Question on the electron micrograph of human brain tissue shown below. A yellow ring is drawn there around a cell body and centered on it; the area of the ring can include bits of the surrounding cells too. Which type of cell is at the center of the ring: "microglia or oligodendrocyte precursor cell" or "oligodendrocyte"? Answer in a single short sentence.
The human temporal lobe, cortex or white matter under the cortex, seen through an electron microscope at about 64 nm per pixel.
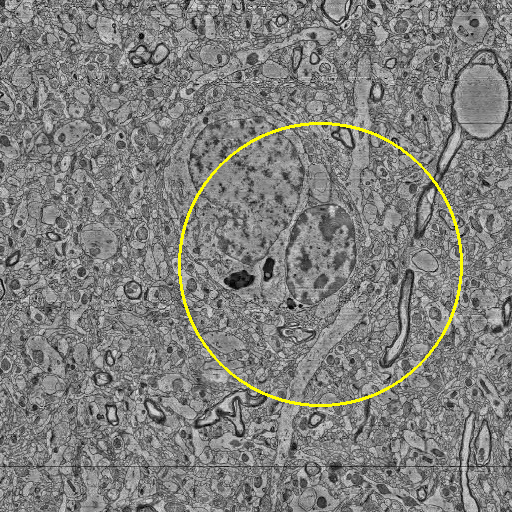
The ring is centered on a microglial cell or oligodendrocyte precursor cell.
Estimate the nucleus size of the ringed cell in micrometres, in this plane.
In this plane the nucleus measures about 7 by 4 micrometres and is clearly longer than it is wide.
